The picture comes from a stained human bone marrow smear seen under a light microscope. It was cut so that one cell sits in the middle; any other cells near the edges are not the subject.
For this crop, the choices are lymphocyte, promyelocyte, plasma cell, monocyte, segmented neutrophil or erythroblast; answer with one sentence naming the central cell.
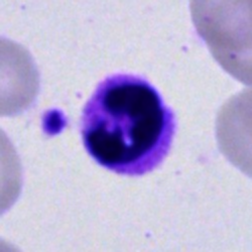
The centrally located cell in the crop is a segmented neutrophil.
